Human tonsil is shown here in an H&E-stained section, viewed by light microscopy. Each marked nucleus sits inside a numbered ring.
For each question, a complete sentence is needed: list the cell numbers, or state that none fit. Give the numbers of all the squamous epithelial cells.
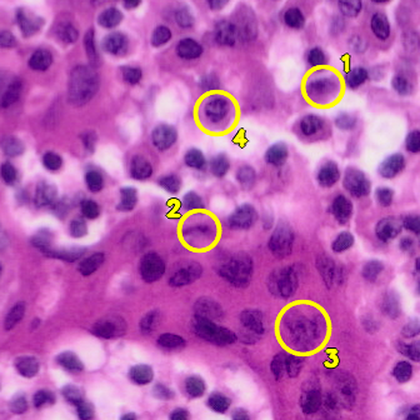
The cells 2 and 3 in this section are squamous epithelial cells.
